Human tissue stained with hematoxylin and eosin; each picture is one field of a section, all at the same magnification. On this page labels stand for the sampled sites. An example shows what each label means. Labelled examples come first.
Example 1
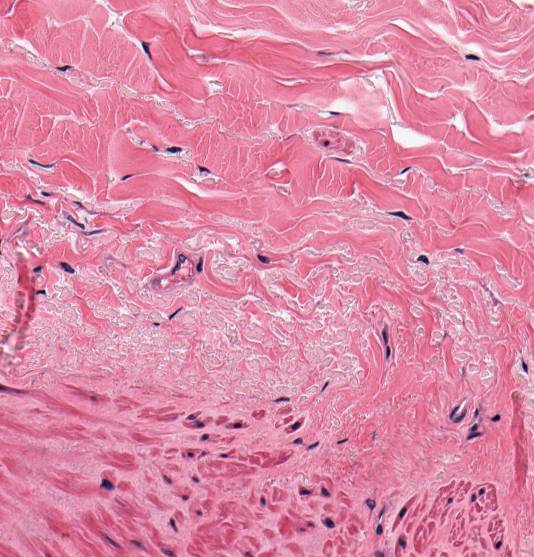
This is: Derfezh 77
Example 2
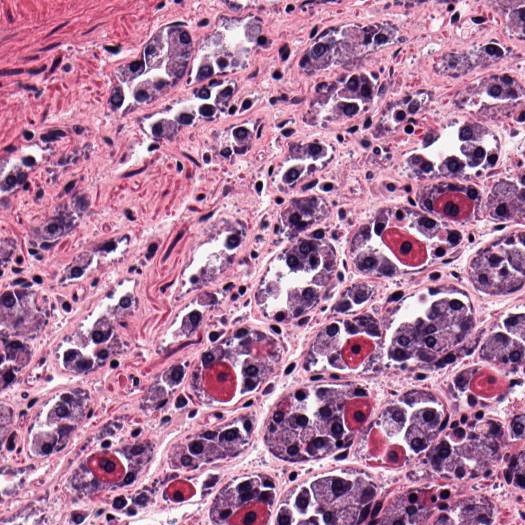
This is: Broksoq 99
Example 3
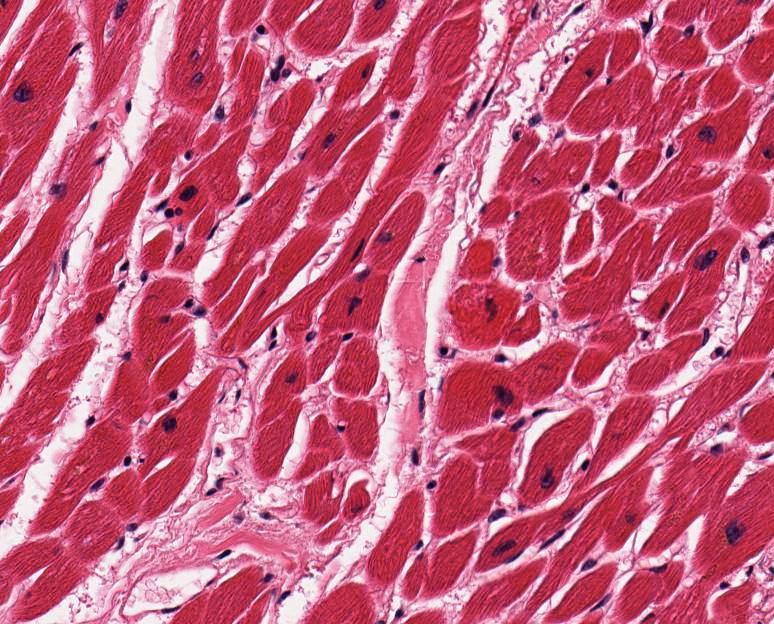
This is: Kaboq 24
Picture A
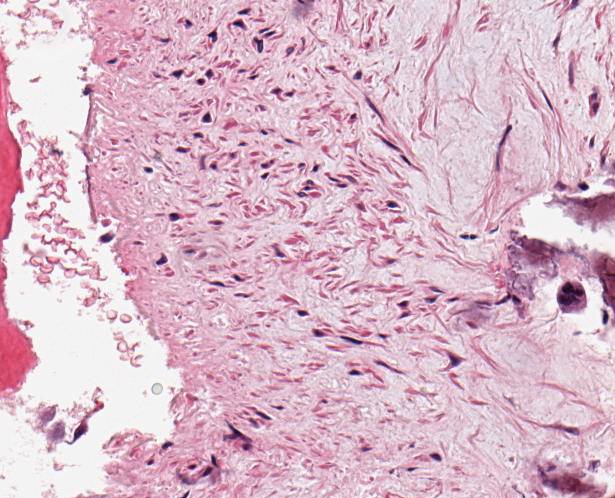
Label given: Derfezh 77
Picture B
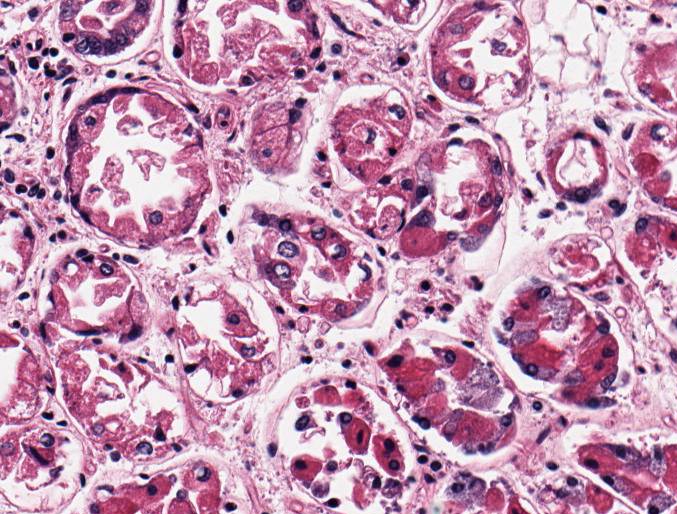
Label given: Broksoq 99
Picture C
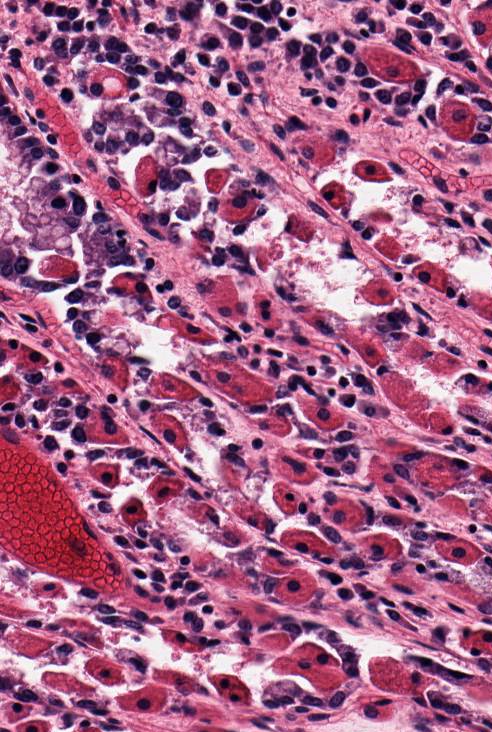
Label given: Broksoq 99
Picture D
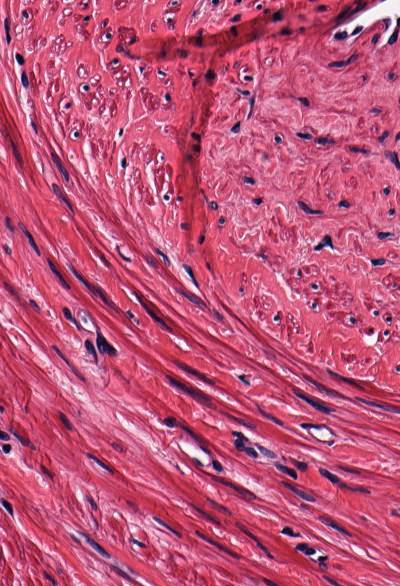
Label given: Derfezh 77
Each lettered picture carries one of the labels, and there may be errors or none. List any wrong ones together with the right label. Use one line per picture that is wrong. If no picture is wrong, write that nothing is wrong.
No label is wrong.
